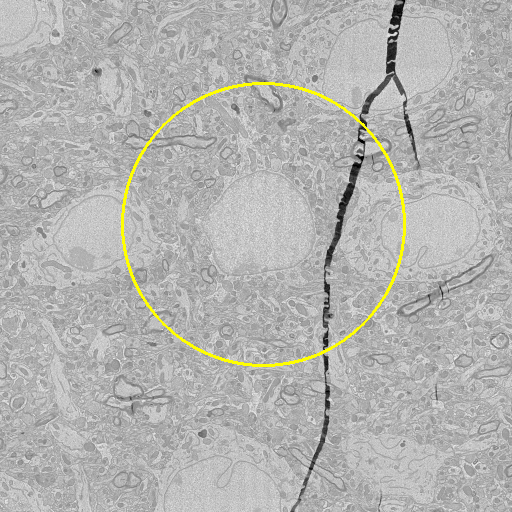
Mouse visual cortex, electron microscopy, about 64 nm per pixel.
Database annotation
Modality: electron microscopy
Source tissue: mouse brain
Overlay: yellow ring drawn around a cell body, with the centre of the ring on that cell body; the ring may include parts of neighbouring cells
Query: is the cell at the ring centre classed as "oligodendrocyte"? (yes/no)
no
